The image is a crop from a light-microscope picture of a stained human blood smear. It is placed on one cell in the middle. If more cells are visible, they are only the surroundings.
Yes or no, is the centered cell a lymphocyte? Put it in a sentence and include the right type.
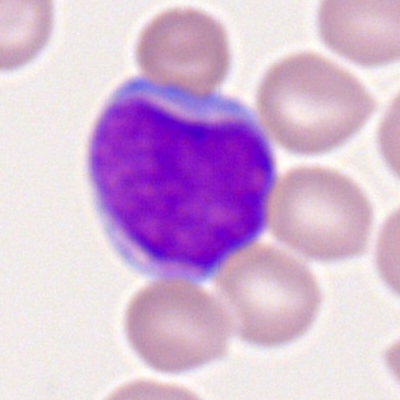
No, it isn't a lymphocyte; what sits in the middle is a myeloblast.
